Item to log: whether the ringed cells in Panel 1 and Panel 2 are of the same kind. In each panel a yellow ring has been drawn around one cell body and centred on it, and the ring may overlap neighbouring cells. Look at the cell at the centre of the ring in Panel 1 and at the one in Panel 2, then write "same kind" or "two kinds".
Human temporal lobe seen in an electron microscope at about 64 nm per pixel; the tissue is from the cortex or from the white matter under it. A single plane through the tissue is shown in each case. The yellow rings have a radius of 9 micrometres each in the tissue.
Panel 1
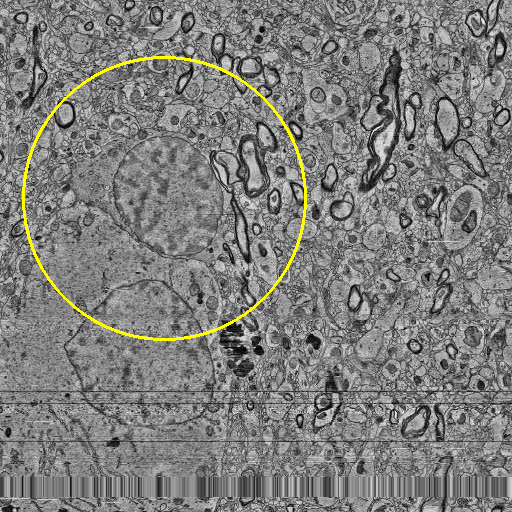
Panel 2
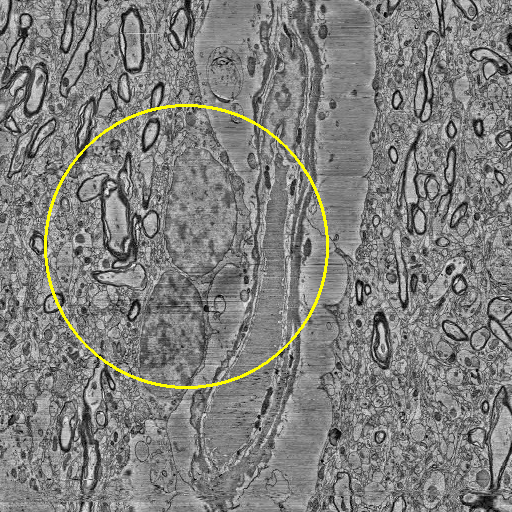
same kind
